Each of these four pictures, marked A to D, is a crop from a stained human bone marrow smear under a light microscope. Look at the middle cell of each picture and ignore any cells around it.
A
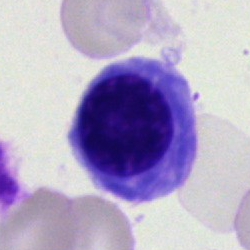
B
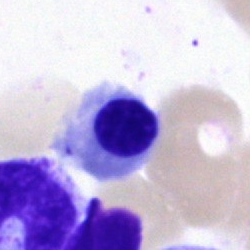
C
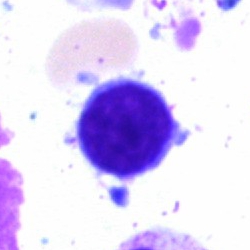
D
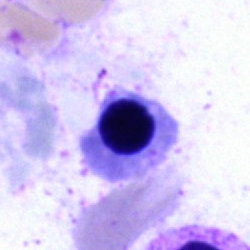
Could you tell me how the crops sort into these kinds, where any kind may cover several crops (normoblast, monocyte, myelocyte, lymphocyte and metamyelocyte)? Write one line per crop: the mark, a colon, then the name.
A: normoblast
B: normoblast
C: lymphocyte
D: normoblast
